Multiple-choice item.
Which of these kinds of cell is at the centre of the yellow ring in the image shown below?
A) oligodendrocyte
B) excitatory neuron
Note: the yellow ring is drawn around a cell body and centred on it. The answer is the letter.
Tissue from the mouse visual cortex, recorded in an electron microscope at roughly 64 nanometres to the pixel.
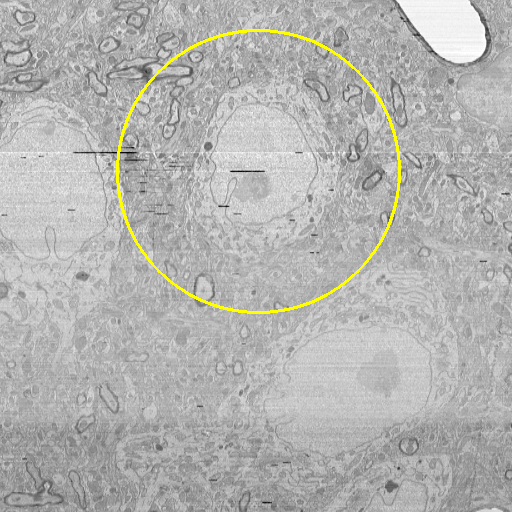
B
